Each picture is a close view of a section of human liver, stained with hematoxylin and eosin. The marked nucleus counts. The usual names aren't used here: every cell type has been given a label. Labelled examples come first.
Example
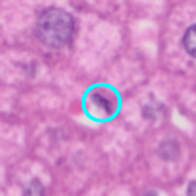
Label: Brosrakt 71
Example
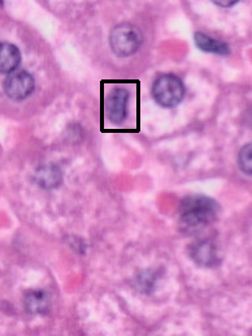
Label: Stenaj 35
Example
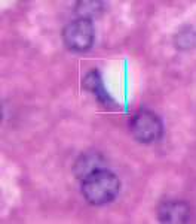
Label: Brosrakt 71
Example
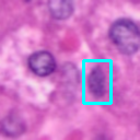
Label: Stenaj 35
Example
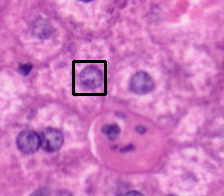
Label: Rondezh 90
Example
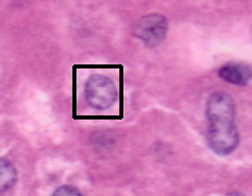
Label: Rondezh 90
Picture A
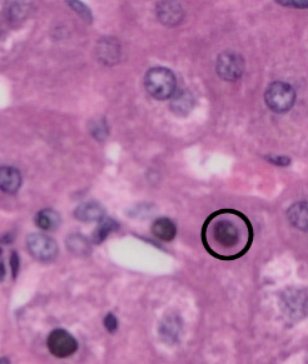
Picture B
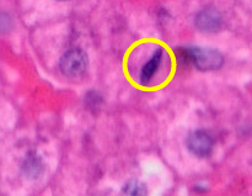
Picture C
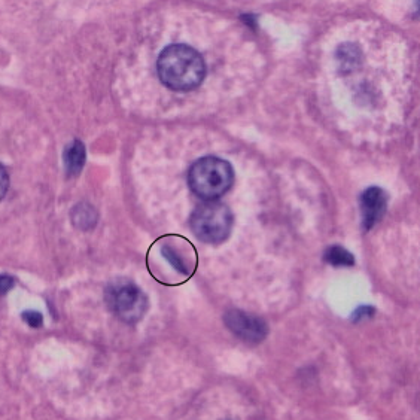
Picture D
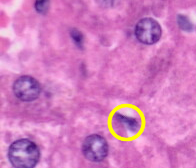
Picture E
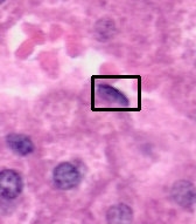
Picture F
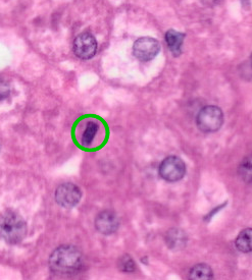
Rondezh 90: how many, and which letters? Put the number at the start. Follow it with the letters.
1, namely A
